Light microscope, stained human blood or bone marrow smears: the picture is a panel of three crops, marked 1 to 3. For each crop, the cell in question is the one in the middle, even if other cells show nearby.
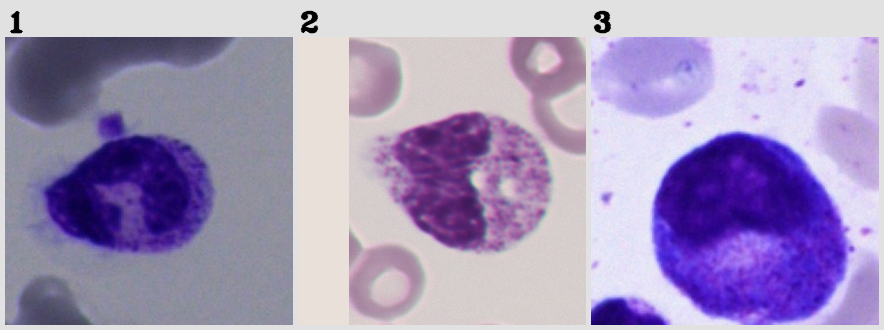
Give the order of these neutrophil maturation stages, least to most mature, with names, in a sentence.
The order, going from least to most mature, is crop 3 (a promyelocyte), crop 2 (a band neutrophil) and crop 1 (a segmented neutrophil).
